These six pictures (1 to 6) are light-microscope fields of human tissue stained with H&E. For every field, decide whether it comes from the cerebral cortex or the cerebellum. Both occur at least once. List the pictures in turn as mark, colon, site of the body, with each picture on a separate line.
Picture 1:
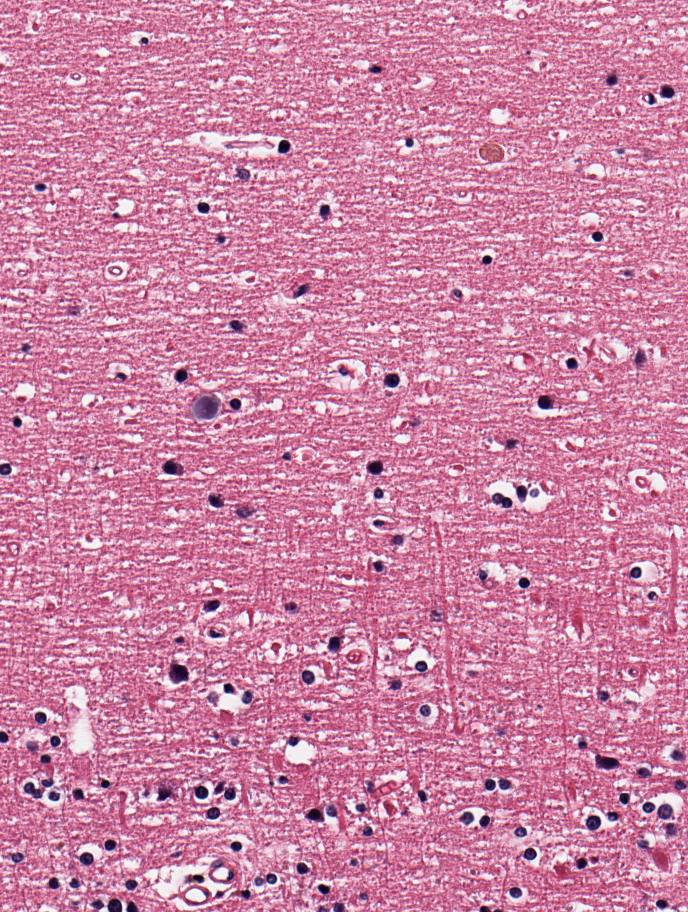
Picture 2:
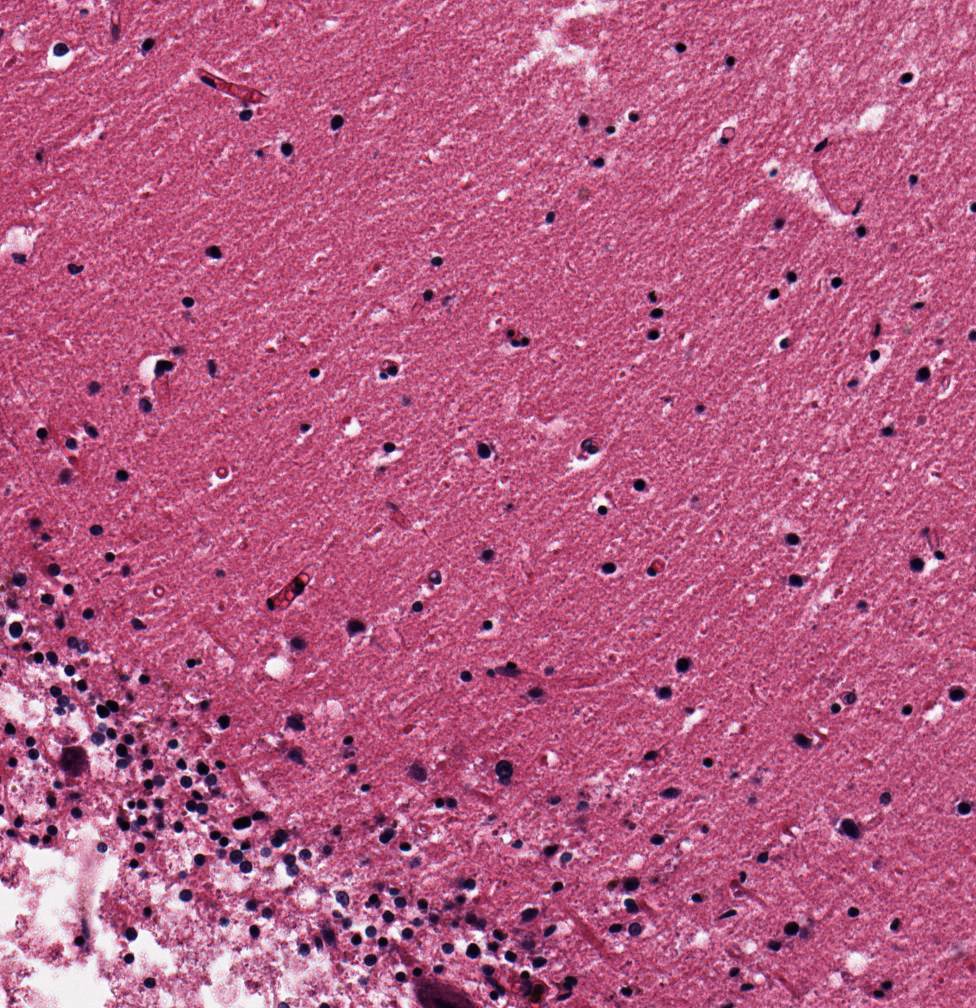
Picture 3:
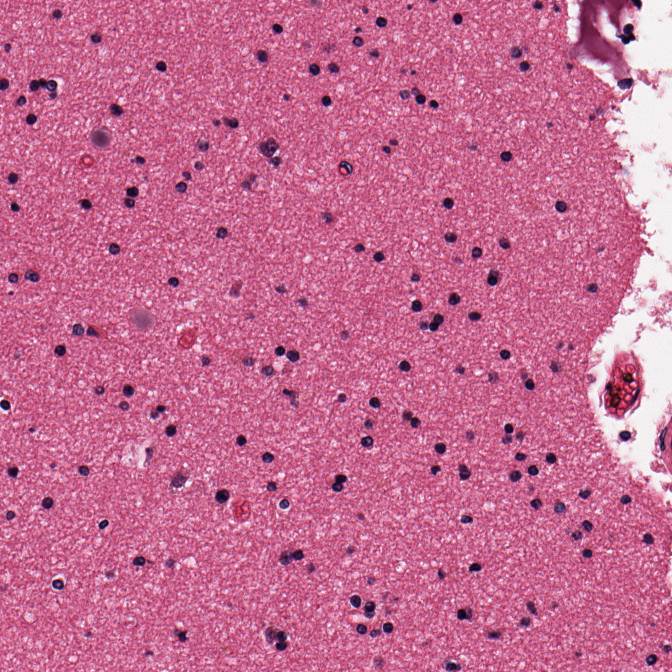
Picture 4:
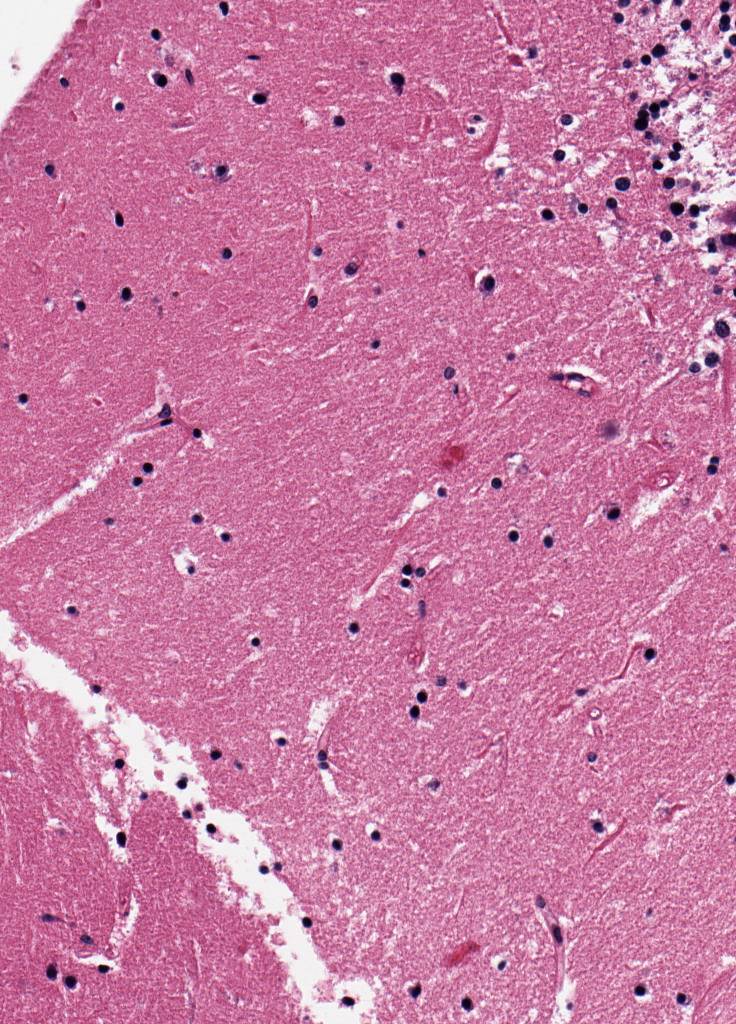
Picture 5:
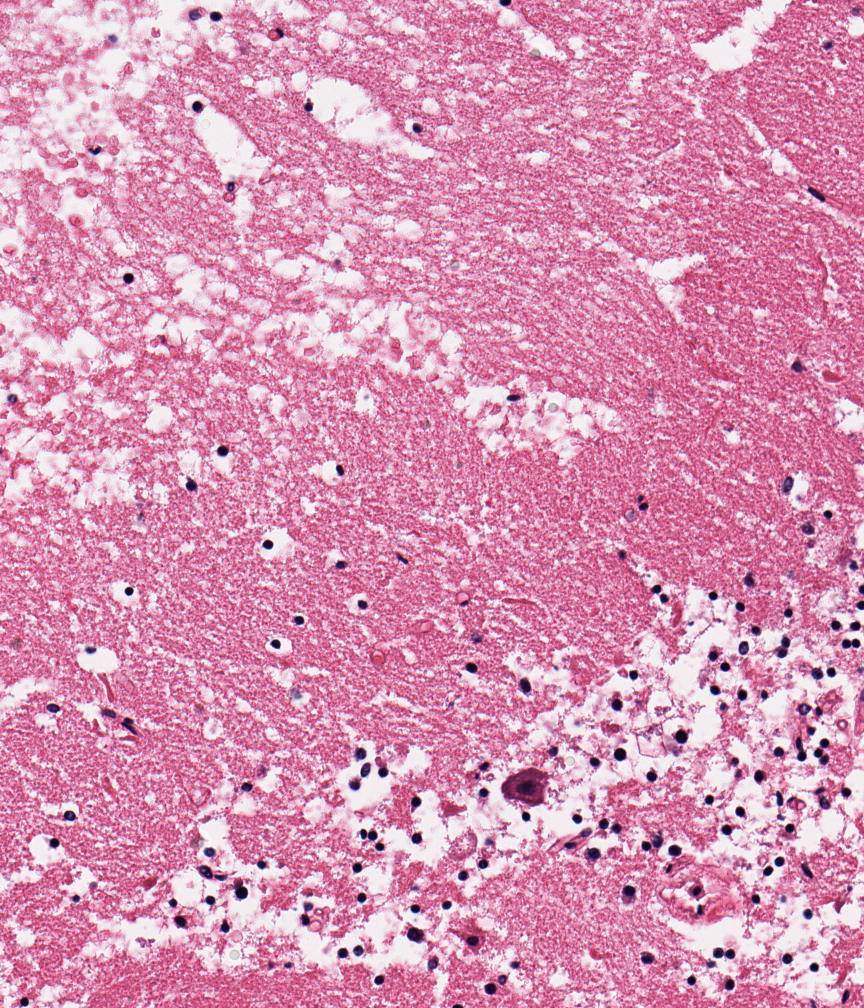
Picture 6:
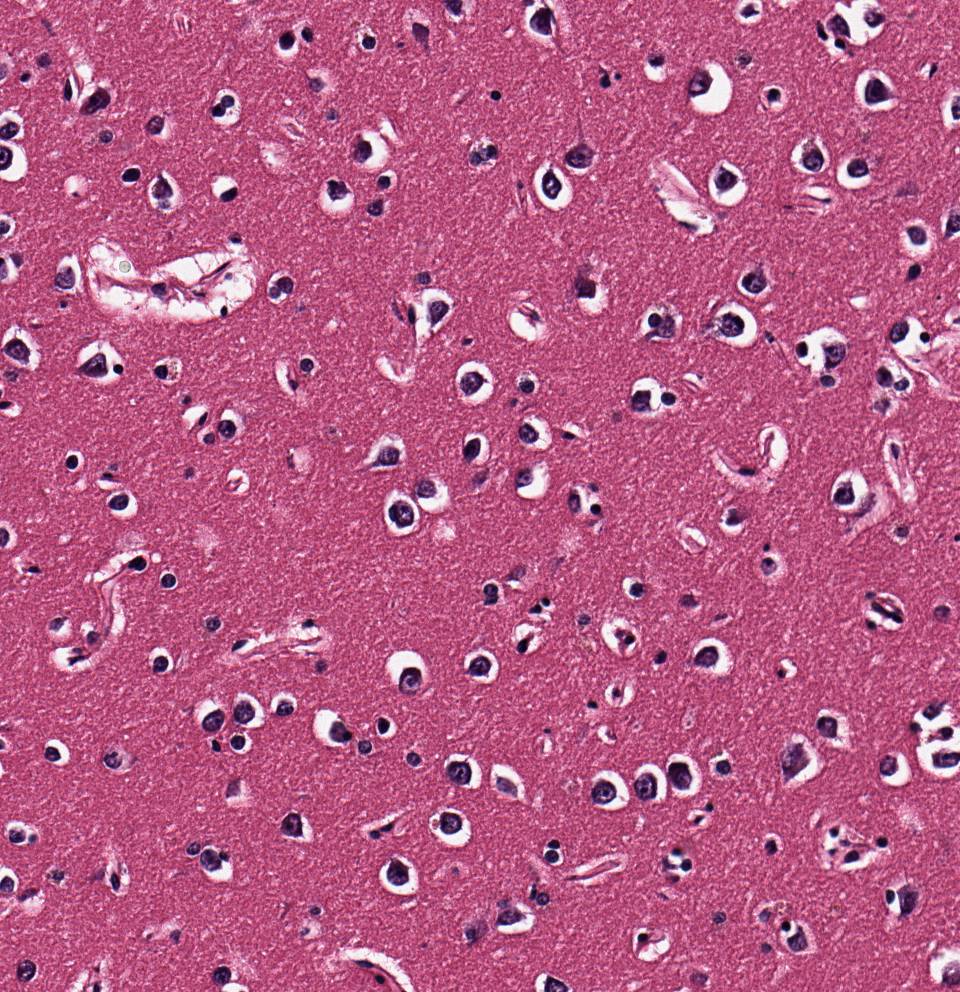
1: cerebellum
2: cerebellum
3: cerebral cortex
4: cerebellum
5: cerebellum
6: cerebral cortex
